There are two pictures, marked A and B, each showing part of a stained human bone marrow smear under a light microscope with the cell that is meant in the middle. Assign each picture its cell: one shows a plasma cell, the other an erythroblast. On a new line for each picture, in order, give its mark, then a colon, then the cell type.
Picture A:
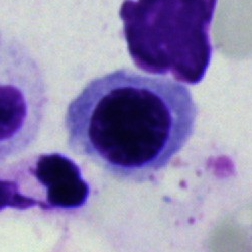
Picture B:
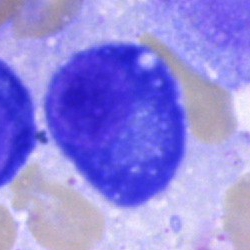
A: erythroblast
B: plasma cell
